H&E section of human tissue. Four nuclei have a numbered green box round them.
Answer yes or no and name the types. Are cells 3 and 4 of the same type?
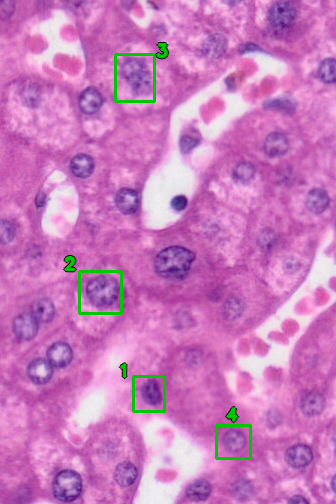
Yes, cells 3 and 4 both belong among the hepatocytes.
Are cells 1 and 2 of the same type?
No, just to clarify, cell 1 is a fibroblast or stellate cell and cell 2 is a hepatocyte.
